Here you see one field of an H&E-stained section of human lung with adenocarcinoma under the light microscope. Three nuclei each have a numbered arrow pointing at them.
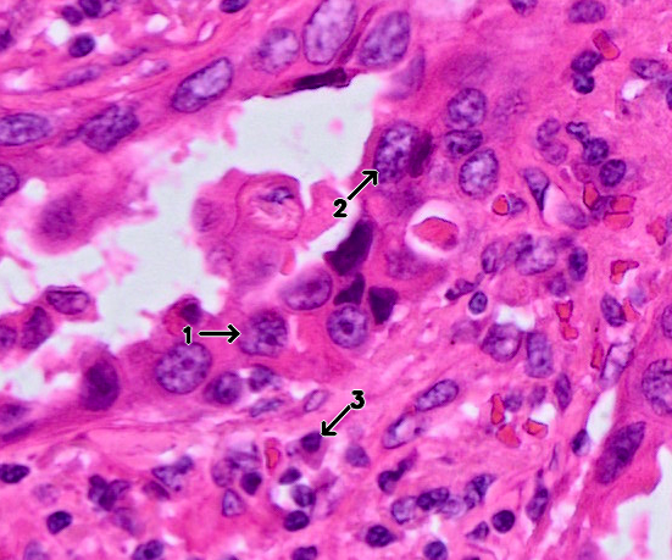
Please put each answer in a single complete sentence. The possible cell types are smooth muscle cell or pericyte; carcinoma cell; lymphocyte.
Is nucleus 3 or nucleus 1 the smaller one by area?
Number 3 is smaller, since number 1 takes up about 4 times as much area.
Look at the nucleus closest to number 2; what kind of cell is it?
The nucleus nearest to number 2 is that of a carcinoma cell.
